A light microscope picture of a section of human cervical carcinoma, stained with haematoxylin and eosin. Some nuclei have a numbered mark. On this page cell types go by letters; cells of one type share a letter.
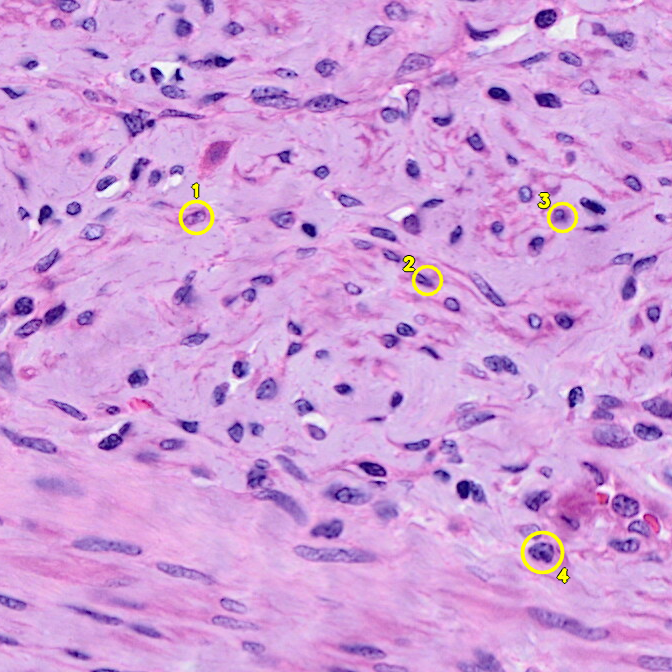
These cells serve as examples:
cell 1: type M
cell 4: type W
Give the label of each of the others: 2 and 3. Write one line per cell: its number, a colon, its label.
2: type M
3: type M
